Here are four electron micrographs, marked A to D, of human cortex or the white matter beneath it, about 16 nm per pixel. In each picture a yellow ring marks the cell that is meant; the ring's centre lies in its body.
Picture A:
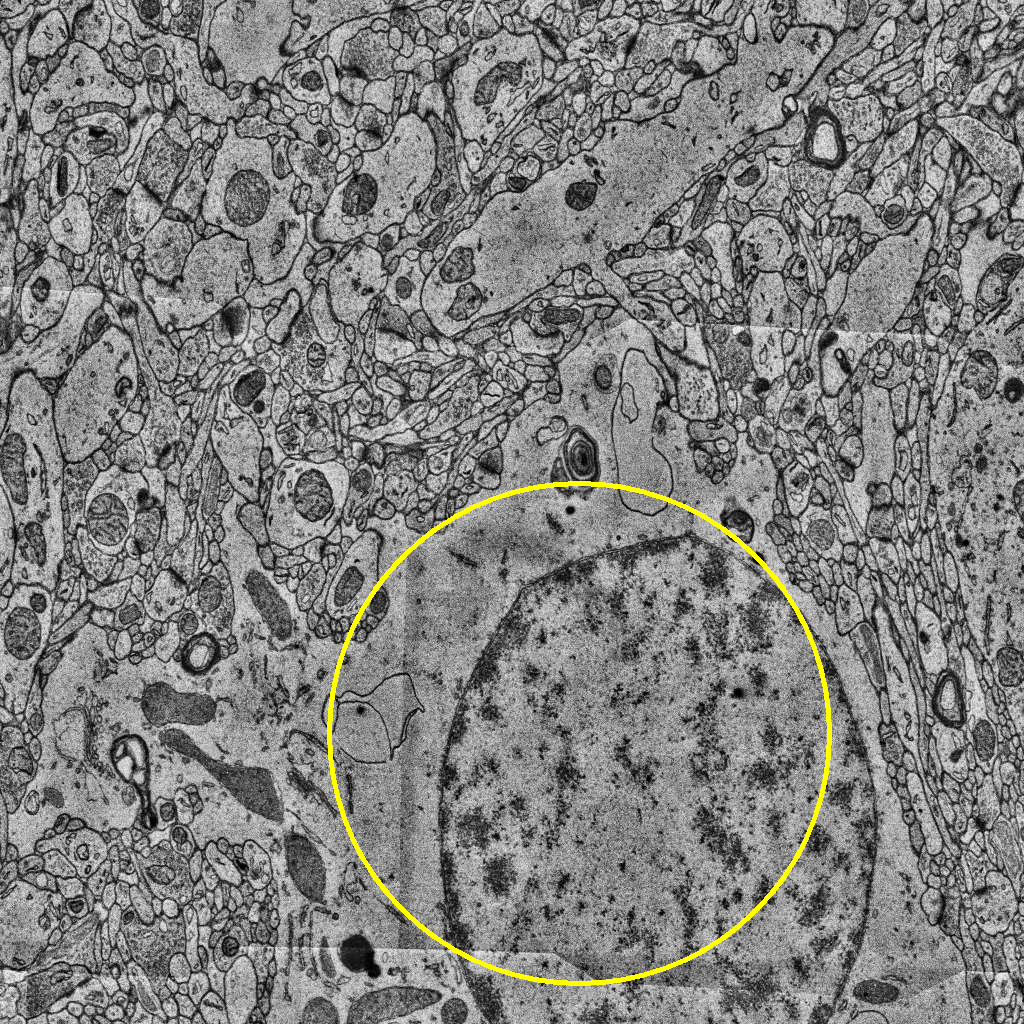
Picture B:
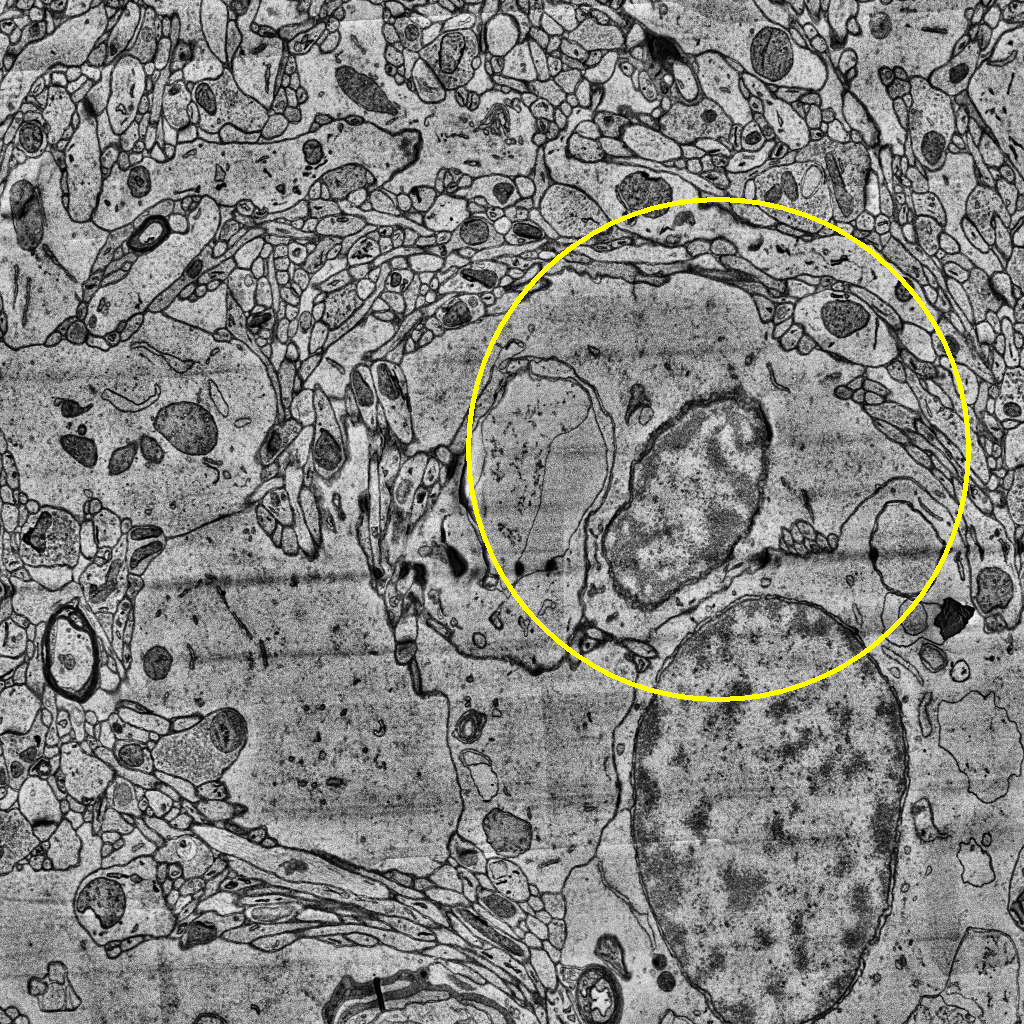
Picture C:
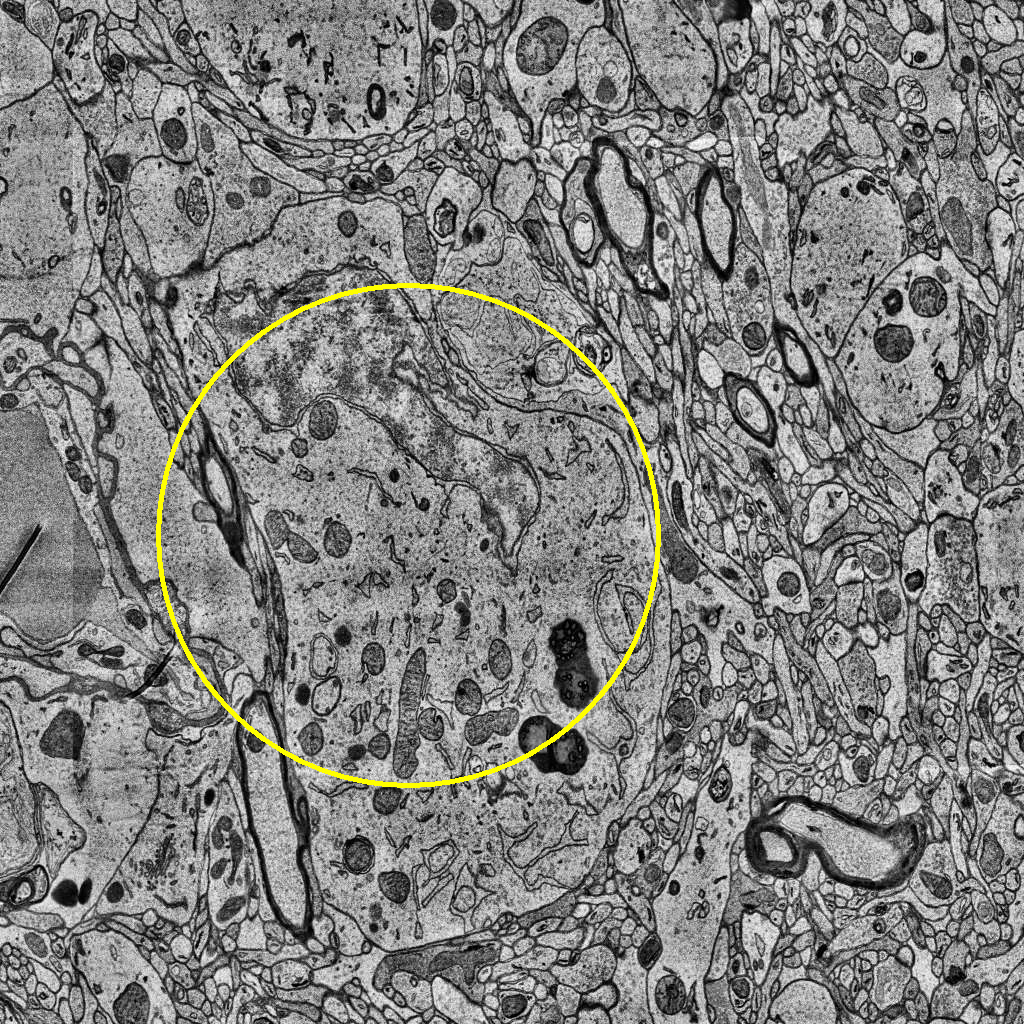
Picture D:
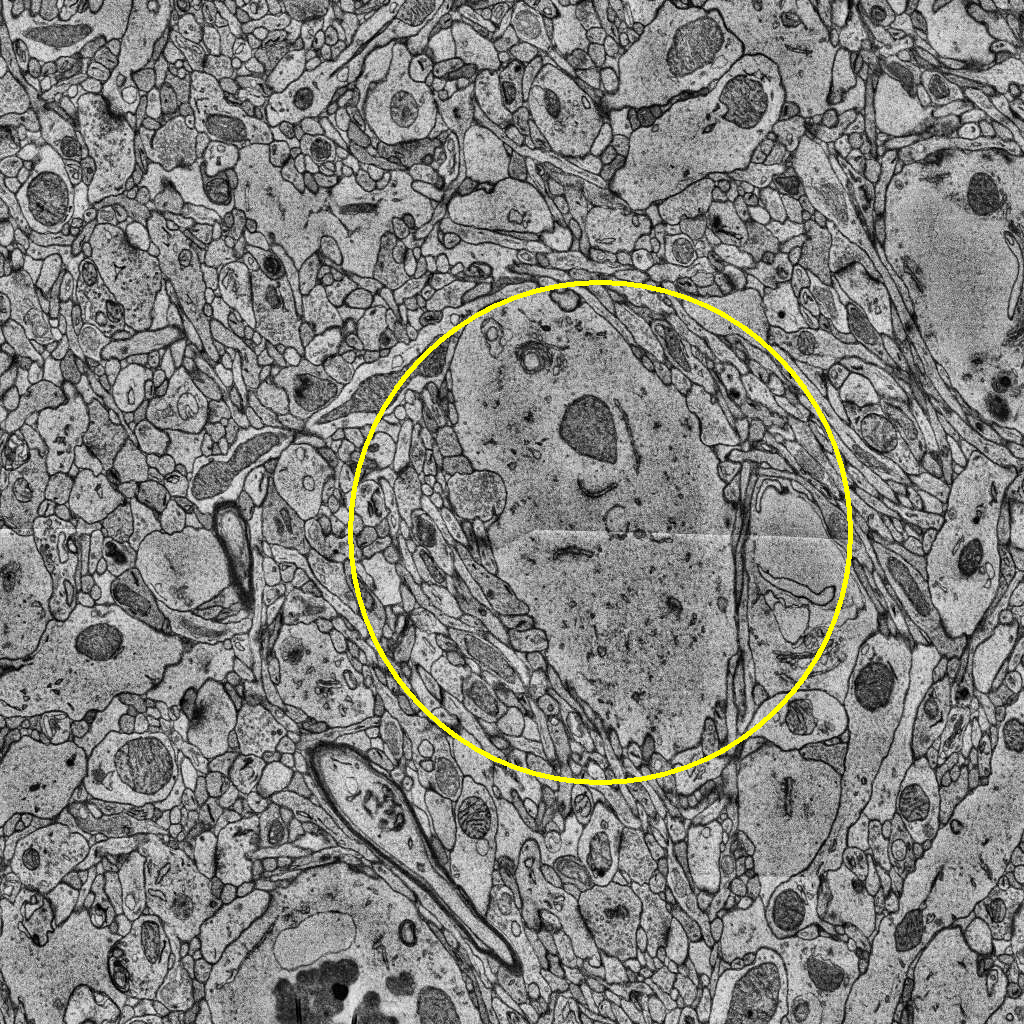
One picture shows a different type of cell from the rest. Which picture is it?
Unlike the rest, which show astrocytes, picture C shows an interneuron.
